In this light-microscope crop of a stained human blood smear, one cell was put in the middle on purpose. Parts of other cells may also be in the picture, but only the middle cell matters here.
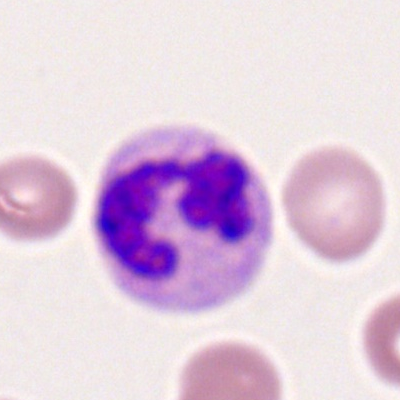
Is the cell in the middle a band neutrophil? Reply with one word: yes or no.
no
